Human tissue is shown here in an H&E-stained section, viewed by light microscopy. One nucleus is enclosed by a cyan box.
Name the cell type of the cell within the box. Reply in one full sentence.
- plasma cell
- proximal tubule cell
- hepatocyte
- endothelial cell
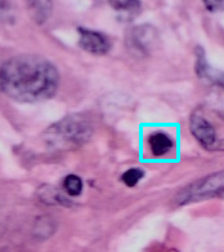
In this section, the cell within the box is a plasma cell.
